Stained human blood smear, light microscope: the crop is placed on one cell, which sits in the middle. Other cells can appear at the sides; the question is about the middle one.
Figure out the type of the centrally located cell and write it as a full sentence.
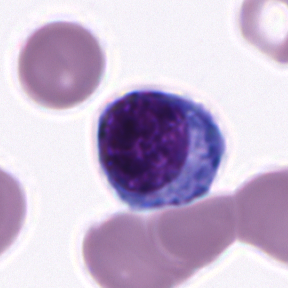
At the center of the crop sits a plasma cell.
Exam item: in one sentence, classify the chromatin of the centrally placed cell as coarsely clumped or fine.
Answer: the chromatin in this nucleus is coarsely clumped.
